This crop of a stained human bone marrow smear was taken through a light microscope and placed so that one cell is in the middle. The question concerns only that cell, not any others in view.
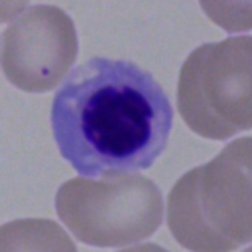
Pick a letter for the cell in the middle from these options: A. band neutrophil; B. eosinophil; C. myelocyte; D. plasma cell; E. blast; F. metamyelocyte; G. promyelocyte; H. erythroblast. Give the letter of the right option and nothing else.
H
